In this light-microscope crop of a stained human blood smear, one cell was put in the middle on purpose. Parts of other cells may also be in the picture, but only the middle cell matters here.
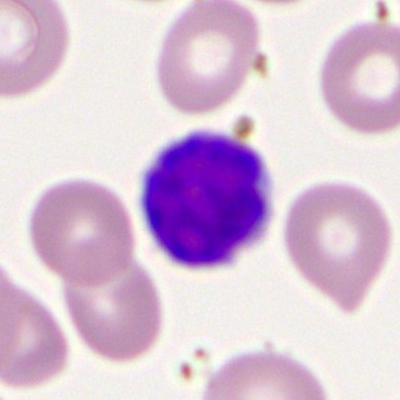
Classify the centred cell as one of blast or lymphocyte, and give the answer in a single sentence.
The centrally positioned cell in the crop represents a lymphocyte.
